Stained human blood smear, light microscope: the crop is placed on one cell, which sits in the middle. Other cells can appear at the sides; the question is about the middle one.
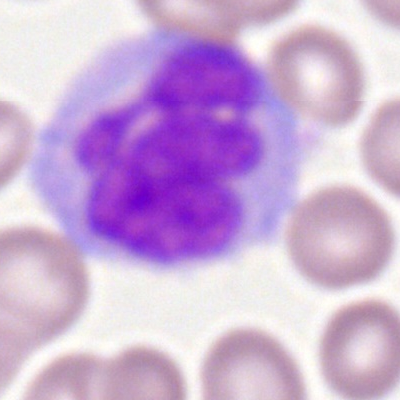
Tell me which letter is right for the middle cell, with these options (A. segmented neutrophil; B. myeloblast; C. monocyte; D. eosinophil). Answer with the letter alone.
C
